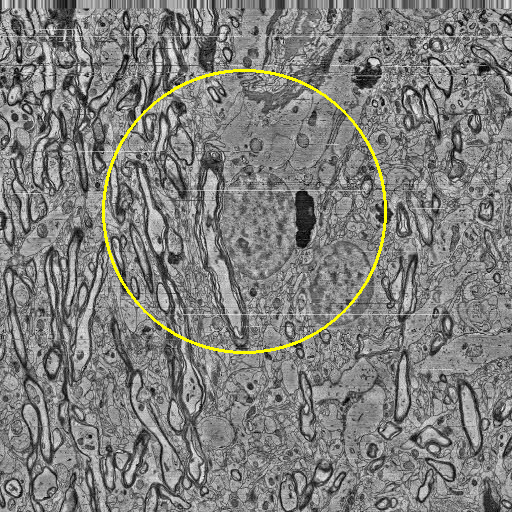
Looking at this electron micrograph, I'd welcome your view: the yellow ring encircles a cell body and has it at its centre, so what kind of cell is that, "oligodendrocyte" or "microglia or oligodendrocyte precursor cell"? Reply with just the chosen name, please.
oligodendrocyte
